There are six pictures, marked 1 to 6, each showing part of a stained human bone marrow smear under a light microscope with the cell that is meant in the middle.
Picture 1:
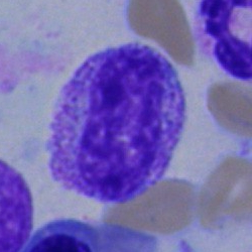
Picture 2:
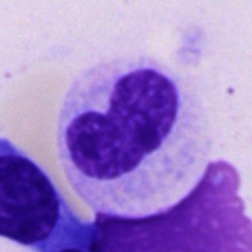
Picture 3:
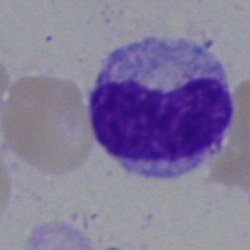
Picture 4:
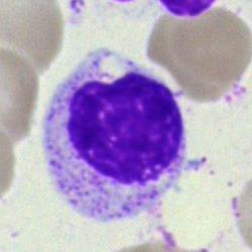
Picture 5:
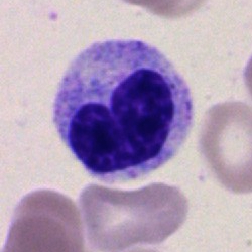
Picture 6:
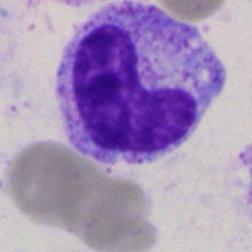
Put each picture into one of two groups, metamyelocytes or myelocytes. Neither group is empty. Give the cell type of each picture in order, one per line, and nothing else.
myelocyte
metamyelocyte
metamyelocyte
myelocyte
metamyelocyte
metamyelocyte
